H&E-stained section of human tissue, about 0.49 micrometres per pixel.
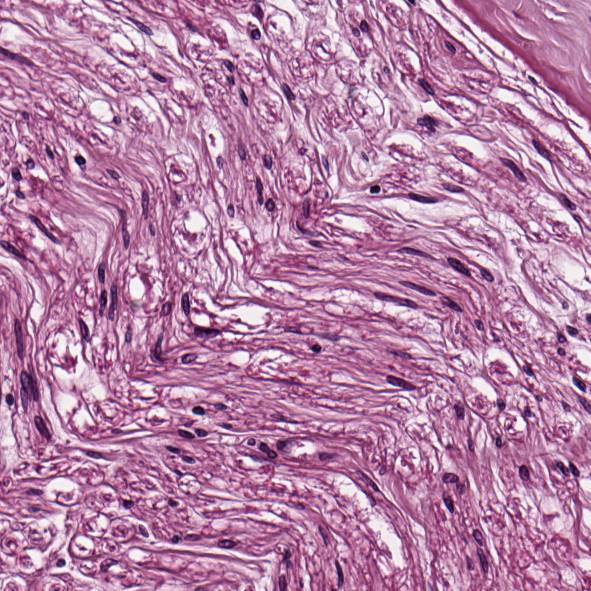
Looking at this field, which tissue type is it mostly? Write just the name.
nerve fascicle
